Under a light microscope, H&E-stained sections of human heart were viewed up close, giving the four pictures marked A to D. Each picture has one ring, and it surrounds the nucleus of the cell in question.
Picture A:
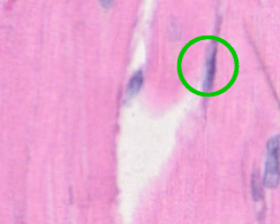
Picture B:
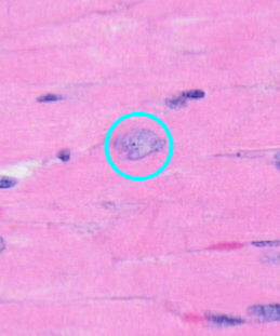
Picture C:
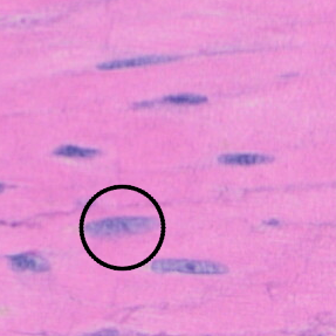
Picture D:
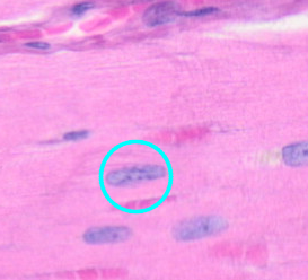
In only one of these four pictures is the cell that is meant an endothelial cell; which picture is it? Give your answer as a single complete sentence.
The endothelial cell is the one in picture A.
